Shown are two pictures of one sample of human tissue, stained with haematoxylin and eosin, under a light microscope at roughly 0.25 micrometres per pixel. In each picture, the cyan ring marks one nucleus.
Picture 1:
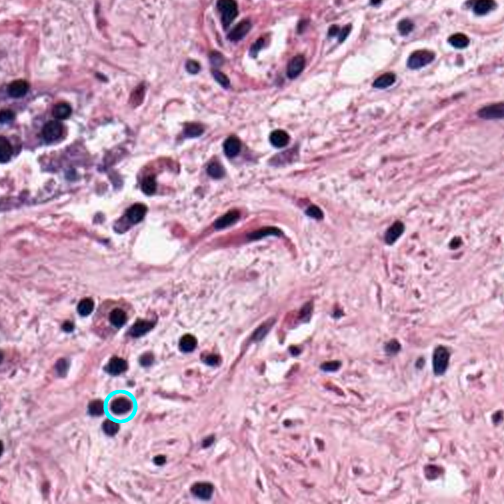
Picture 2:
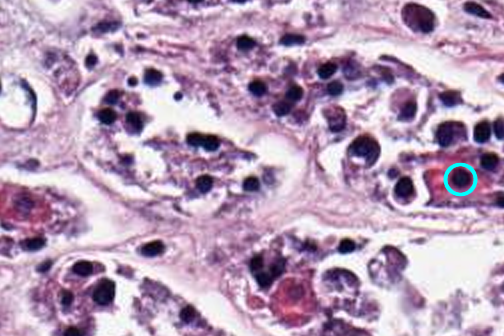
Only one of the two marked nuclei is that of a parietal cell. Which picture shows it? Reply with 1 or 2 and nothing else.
2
